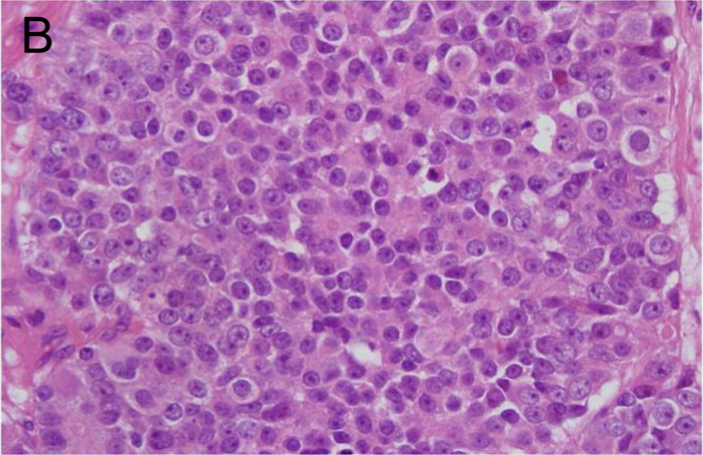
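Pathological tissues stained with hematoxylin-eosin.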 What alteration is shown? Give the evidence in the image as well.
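Cells lie densely packed side by side in a continuous sheet. No glands or papillae are formed. That points to this answer: sheet-like pattern of growth.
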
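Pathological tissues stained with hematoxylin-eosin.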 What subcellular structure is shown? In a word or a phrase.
Prominent nucleoli.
